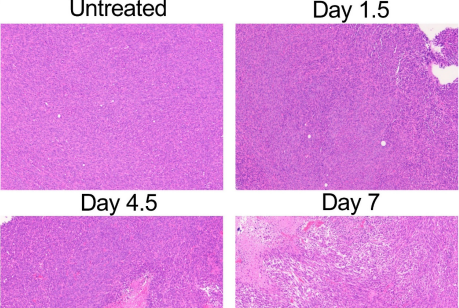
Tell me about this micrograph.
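Tumor tissue stained with hematoxylin and eosin, made of densely packed cells with purple nuclei in solid sheets. In the two lower images there are areas of pale pink, amorphous tissue with few or no nuclei, set within the dense cellular tissue, consistent with necrosis; the upper images show mostly uniform, solid cellular tissue.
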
